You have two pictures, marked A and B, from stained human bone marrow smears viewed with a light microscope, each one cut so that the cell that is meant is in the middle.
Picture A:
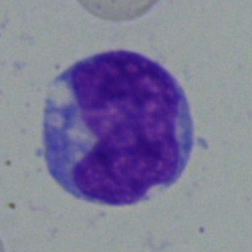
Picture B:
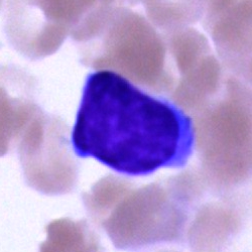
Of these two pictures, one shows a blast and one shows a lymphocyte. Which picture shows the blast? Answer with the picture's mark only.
A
